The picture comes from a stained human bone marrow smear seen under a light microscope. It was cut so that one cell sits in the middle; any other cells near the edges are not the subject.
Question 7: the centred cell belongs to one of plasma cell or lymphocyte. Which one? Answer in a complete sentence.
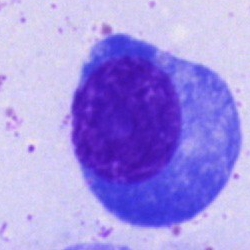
The middle of this crop holds a plasma cell.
